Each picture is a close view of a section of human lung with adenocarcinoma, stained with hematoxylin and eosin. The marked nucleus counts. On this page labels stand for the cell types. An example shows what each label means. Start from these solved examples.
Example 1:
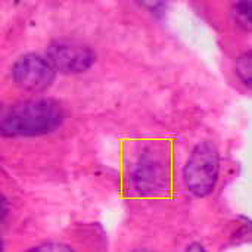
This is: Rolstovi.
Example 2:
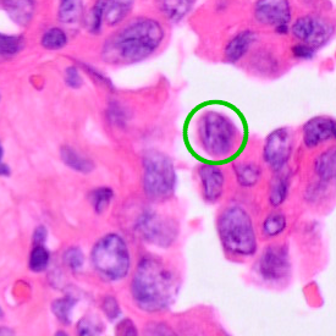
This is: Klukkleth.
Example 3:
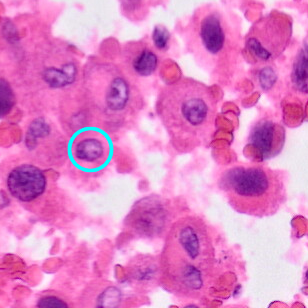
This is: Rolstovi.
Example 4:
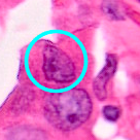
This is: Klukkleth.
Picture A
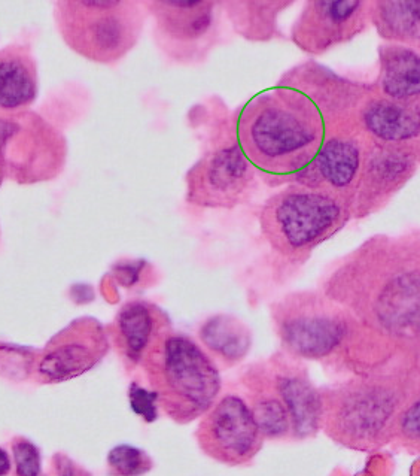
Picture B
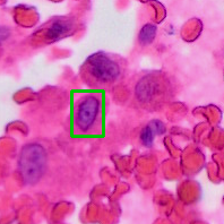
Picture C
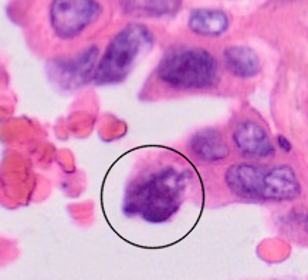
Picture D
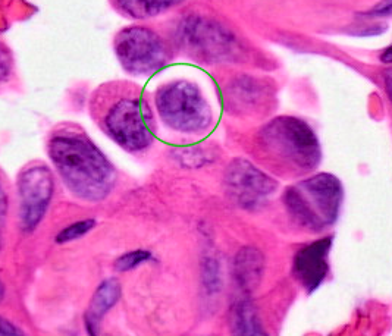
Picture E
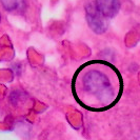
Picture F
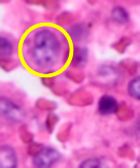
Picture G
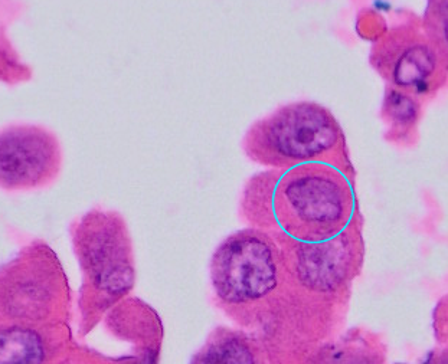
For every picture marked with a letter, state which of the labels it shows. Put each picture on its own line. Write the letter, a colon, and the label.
A: Klukkleth.
B: Rolstovi.
C: Klukkleth.
D: Klukkleth.
E: Rolstovi.
F: Rolstovi.
G: Klukkleth.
